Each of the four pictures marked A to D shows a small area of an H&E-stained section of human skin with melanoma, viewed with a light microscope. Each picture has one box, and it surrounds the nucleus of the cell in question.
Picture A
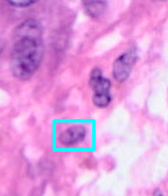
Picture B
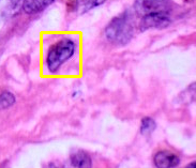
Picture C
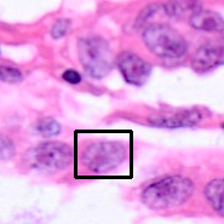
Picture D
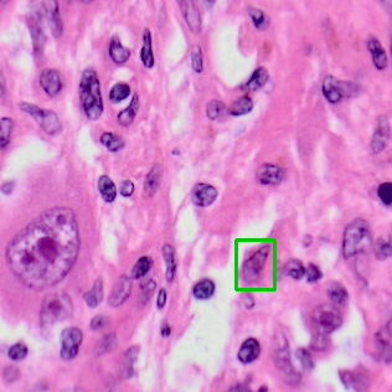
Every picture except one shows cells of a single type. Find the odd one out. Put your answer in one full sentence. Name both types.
The others show “macrophages or monocytes”, but picture C shows a melanoma cell.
